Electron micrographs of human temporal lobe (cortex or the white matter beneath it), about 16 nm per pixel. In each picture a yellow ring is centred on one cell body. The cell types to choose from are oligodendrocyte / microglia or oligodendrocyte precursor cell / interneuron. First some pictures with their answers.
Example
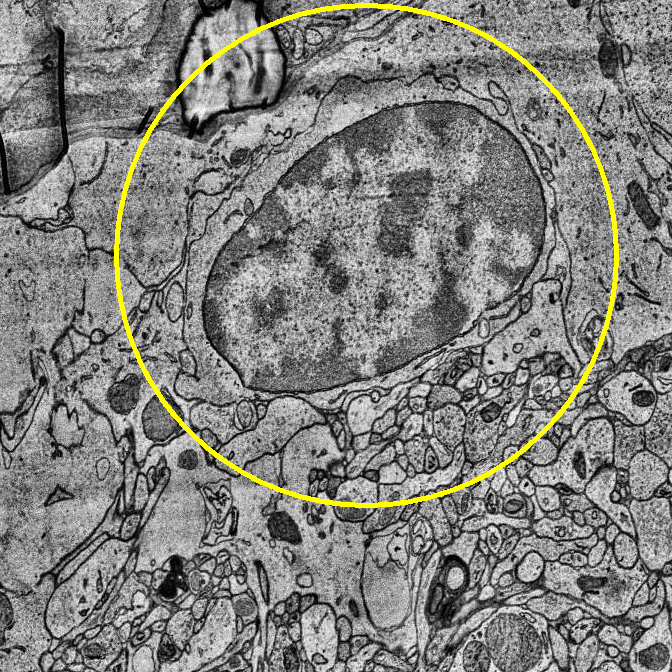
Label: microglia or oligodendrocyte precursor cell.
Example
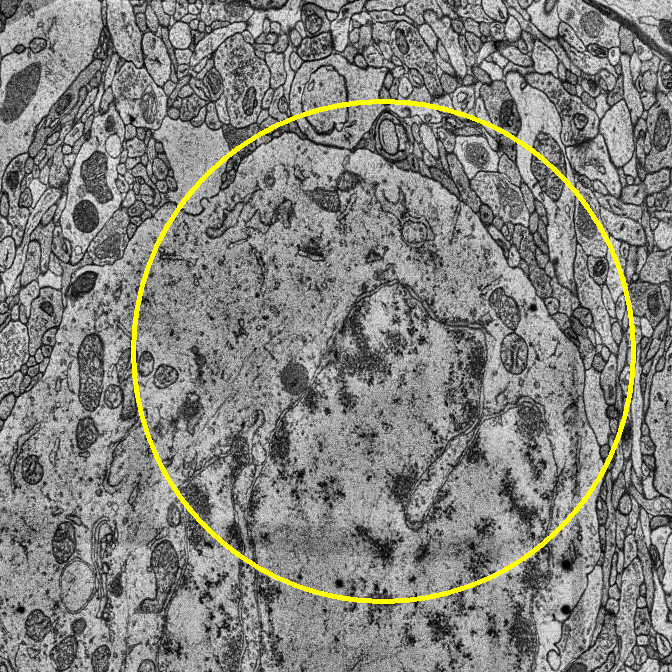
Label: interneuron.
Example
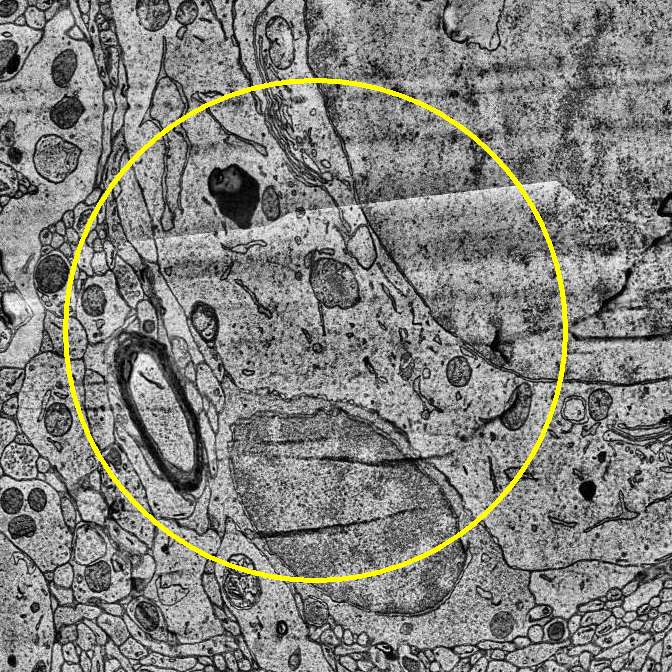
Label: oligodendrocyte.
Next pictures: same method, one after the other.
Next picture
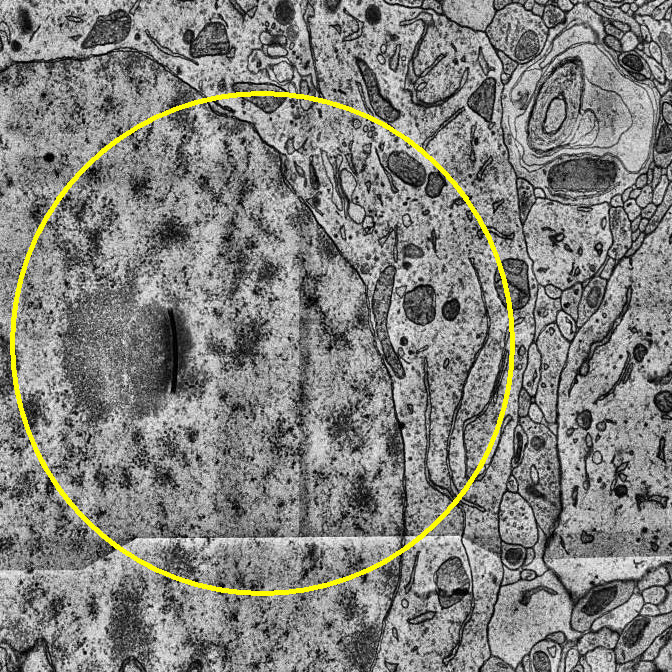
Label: interneuron.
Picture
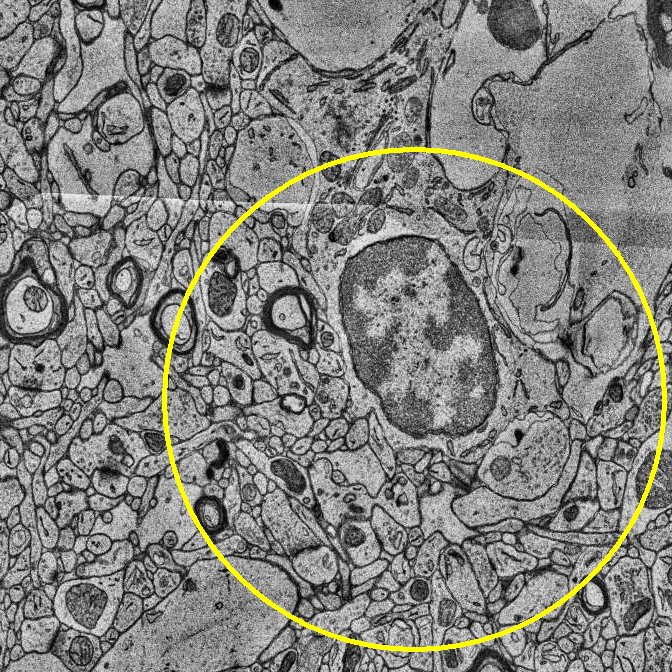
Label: microglia or oligodendrocyte precursor cell.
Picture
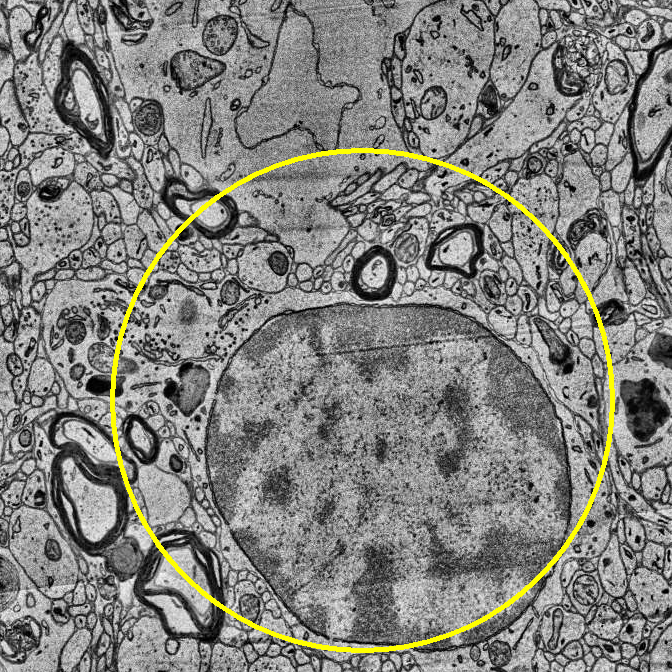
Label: microglia or oligodendrocyte precursor cell.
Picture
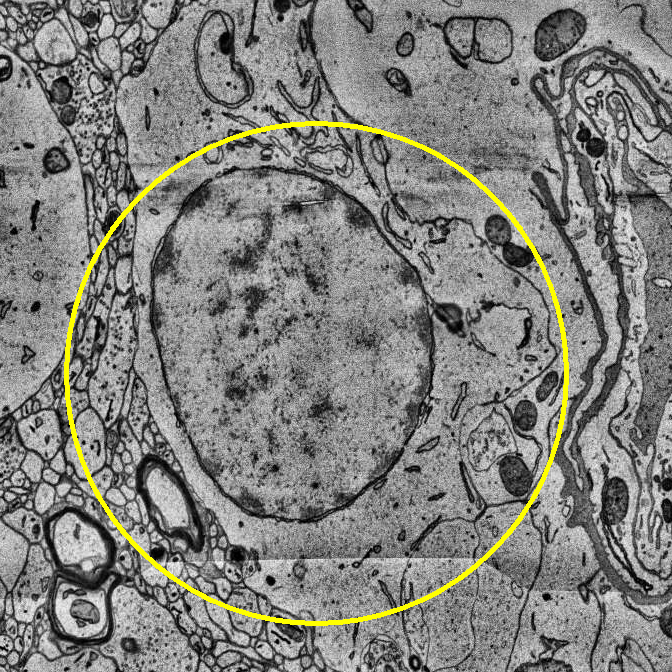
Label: microglia or oligodendrocyte precursor cell.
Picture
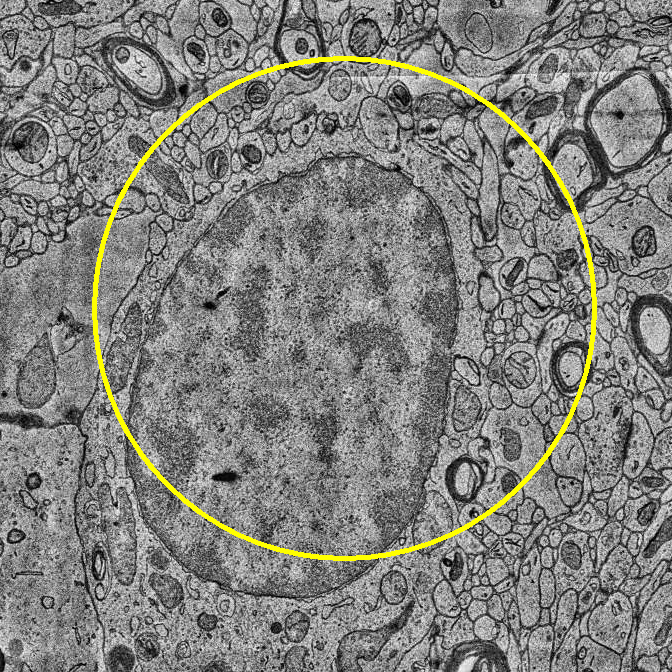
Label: oligodendrocyte.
